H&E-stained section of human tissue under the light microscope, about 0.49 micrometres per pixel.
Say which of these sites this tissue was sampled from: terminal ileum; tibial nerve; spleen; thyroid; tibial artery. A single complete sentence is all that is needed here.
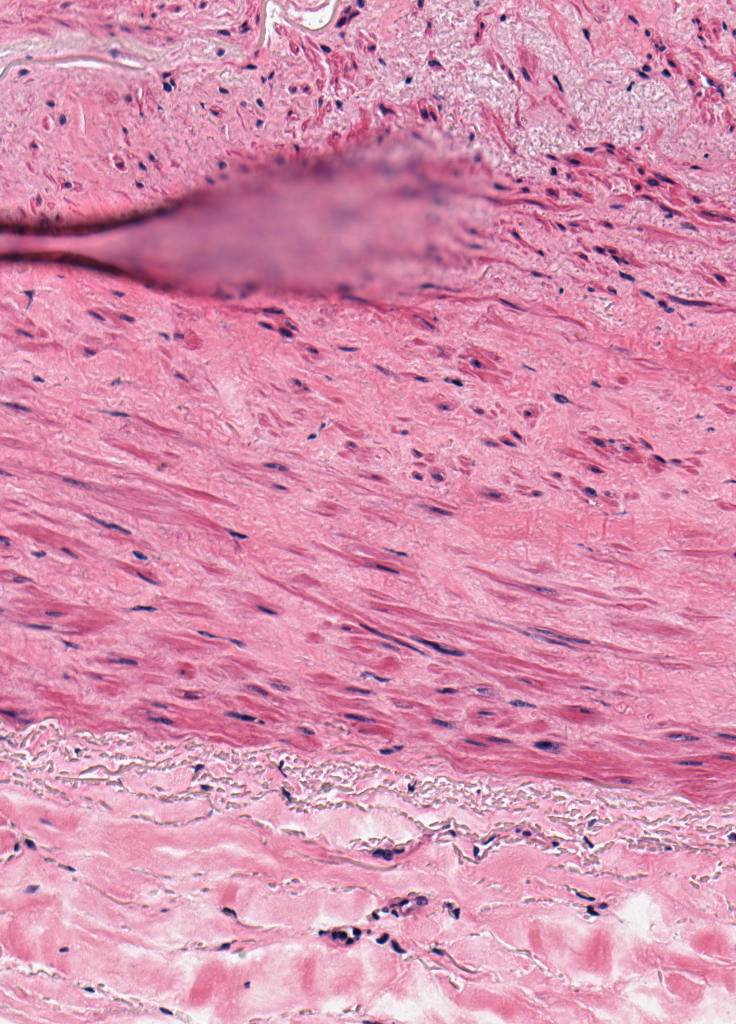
This section was cut from tissue of the tibial artery.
